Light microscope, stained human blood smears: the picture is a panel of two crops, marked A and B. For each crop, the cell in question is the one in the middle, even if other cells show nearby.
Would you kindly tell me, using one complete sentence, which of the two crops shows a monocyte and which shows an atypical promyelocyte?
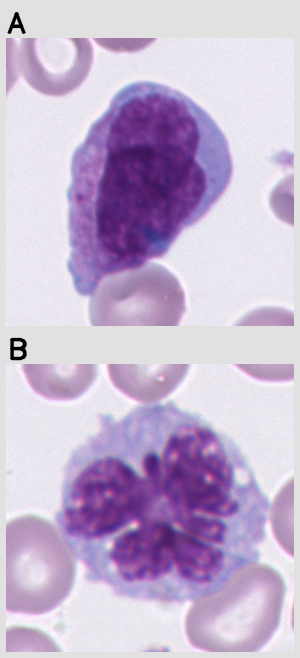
Within crop A sits an atypical promyelocyte, and within crop B sits a monocyte.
